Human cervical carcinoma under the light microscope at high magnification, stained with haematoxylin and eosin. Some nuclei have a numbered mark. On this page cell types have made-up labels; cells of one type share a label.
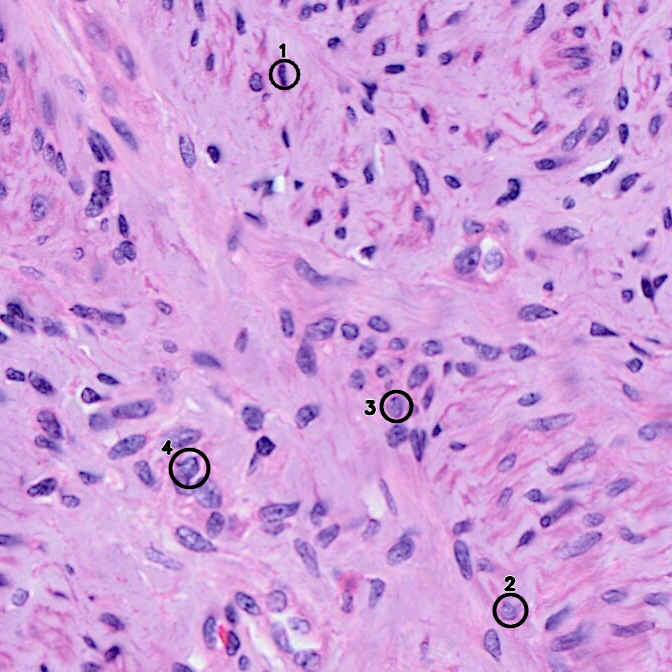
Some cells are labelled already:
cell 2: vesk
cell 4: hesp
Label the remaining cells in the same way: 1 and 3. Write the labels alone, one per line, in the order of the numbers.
vesk
vesk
